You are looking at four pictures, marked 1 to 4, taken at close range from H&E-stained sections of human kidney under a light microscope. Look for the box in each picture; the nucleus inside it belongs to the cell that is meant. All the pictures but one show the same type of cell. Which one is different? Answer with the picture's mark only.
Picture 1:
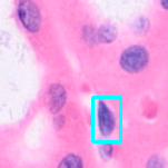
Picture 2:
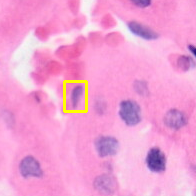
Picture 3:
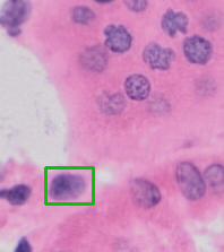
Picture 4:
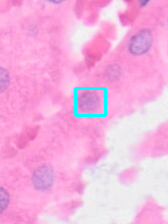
4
